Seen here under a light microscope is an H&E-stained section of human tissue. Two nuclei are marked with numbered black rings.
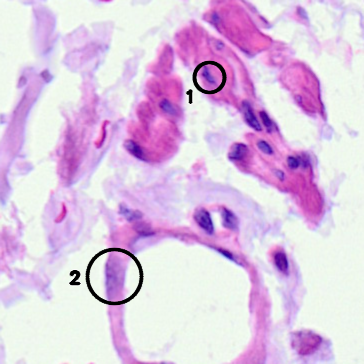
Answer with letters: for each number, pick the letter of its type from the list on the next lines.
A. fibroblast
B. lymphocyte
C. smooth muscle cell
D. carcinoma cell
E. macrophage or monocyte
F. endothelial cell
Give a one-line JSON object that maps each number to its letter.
{"1": "C", "2": "F"}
